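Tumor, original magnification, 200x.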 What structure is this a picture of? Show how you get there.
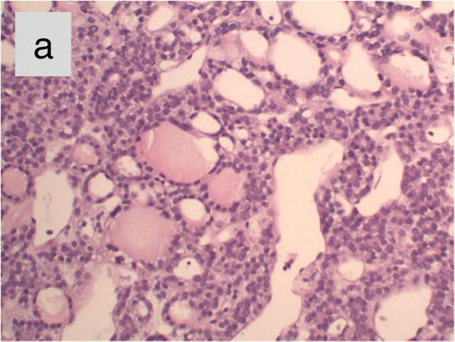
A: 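Tumor cells are arranged around round spaces. The round spaces vary widely in size. Some spaces contain pink homogeneous material.
Answer: follicular structures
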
